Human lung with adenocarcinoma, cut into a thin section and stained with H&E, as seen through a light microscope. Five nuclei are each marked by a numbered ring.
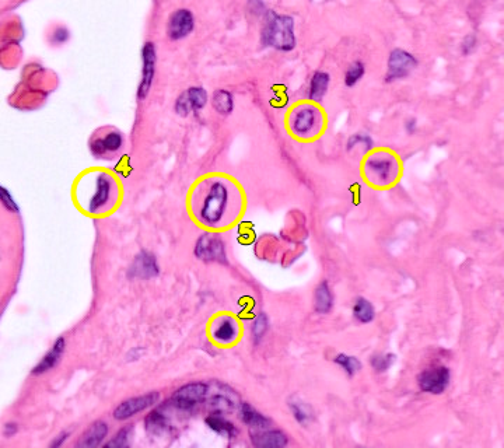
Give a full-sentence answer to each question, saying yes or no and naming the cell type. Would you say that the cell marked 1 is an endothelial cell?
No, cell 1 is a mast cell; it is not an endothelial cell.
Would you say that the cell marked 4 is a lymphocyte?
No, with respect, cell 4 is an endothelial cell rather than a lymphocyte.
